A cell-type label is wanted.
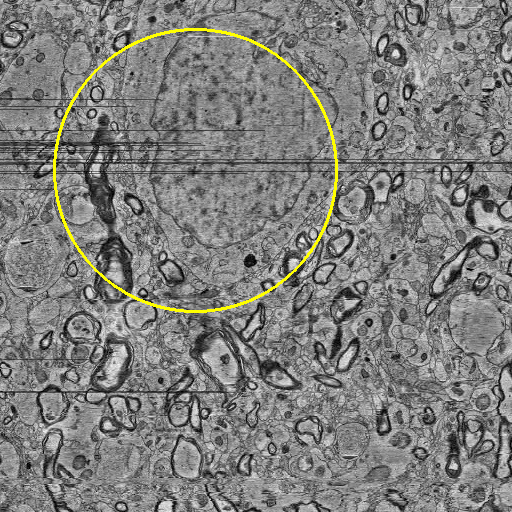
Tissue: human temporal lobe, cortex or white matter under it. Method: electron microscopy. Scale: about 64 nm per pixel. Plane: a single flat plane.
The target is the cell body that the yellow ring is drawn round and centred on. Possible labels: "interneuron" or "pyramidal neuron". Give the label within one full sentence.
Of the labels offered, the cell in the middle of the yellow ring is an interneuron.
